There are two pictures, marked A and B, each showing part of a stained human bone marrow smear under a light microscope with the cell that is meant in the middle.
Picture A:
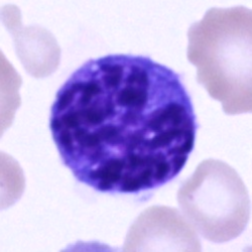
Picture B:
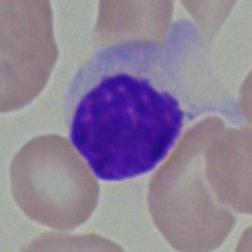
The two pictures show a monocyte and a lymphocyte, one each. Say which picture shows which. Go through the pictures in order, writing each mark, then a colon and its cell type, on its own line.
A: monocyte
B: lymphocyte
